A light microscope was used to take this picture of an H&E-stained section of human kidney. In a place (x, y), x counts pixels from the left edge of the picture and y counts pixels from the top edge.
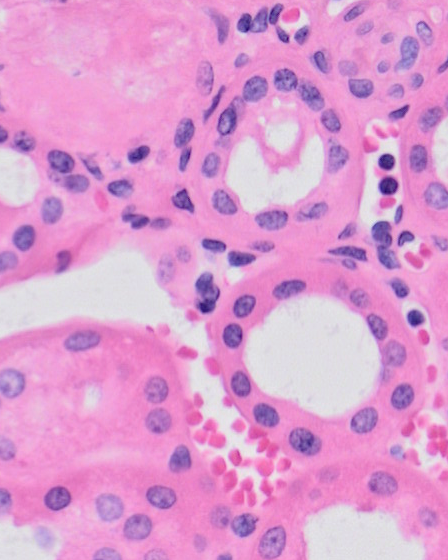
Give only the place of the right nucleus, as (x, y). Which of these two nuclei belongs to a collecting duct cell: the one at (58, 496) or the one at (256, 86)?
(256, 86)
